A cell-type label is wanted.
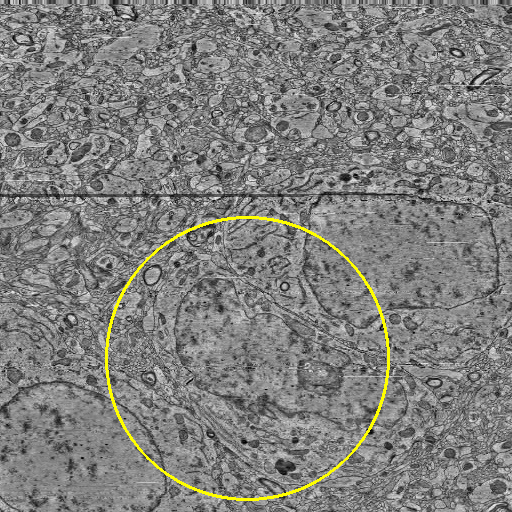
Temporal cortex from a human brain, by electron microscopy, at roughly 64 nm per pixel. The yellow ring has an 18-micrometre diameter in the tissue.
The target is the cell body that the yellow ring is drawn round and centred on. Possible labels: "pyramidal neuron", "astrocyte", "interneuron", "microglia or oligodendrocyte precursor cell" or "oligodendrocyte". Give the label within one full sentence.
Of the labels offered, the cell in the middle of the yellow ring is an interneuron.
